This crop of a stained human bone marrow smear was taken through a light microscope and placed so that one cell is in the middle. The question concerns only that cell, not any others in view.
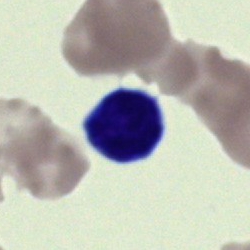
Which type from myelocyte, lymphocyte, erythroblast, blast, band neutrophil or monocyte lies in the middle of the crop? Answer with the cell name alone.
lymphocyte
